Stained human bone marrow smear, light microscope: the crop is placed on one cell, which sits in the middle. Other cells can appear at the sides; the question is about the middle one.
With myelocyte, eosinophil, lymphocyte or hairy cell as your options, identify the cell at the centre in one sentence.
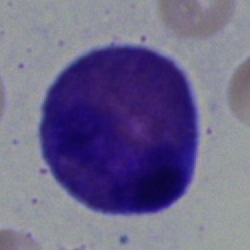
Answering briefly, the cell in the middle is an eosinophil.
